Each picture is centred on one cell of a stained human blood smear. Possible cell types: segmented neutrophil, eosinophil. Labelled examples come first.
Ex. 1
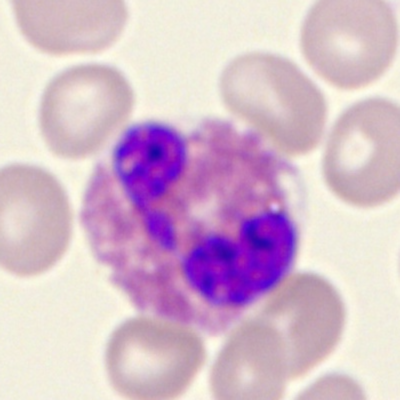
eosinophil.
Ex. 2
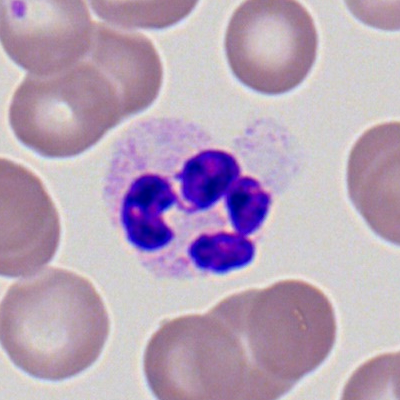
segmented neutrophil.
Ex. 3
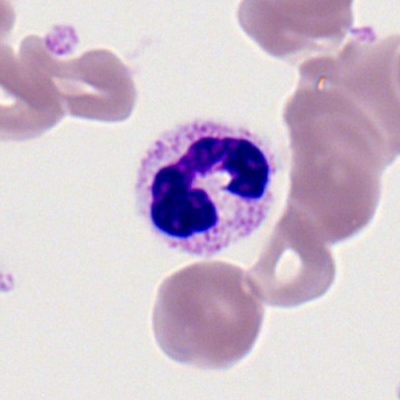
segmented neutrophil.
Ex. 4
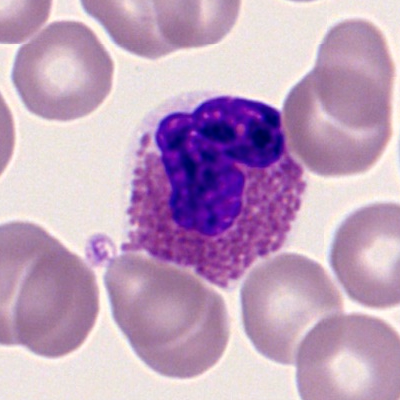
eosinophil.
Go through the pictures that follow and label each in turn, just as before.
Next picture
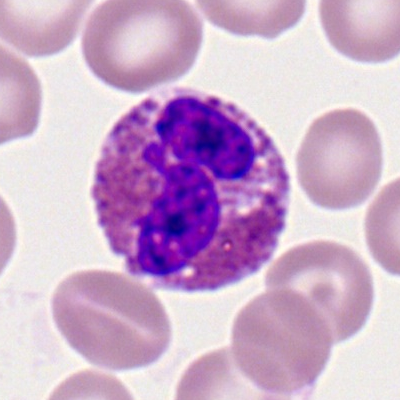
eosinophil.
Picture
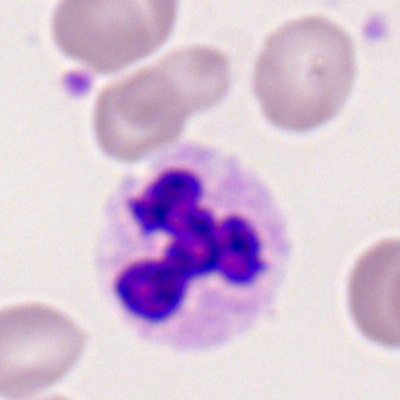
segmented neutrophil.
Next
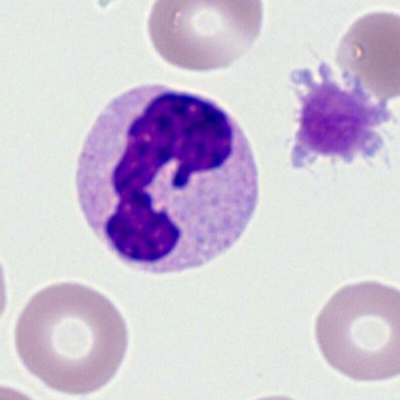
segmented neutrophil.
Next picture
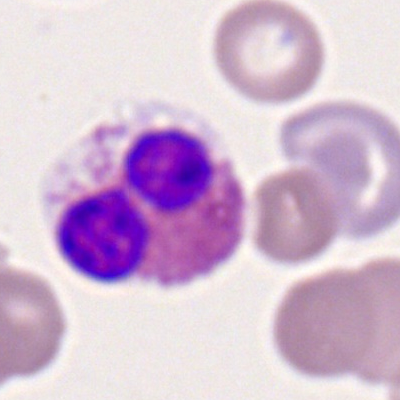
eosinophil.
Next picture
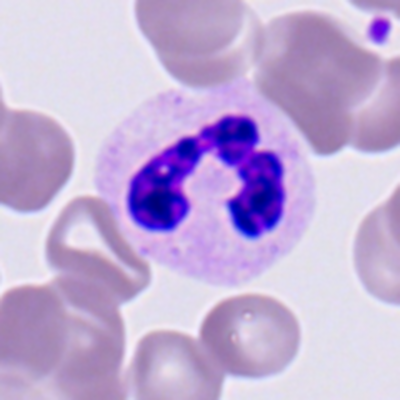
segmented neutrophil.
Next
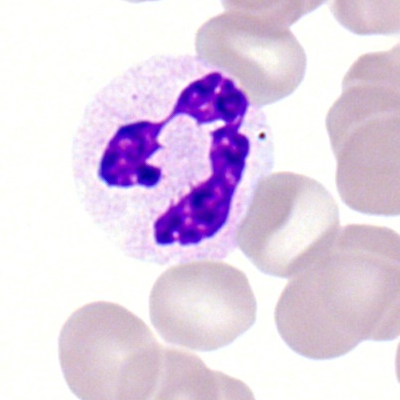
segmented neutrophil.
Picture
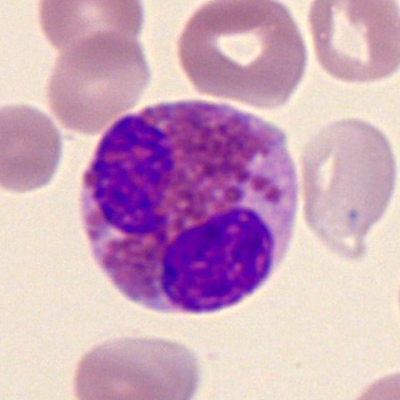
eosinophil.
